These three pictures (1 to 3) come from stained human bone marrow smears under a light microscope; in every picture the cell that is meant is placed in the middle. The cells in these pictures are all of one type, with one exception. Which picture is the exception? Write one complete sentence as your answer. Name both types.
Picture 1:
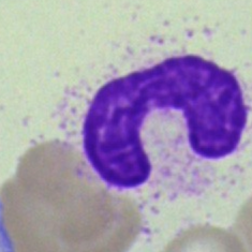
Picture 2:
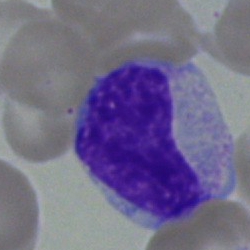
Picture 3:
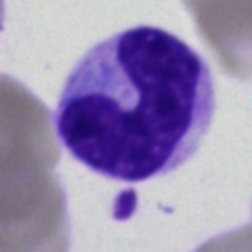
Picture 2 differs, because its cell is a metamyelocyte and the rest are band neutrophils.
